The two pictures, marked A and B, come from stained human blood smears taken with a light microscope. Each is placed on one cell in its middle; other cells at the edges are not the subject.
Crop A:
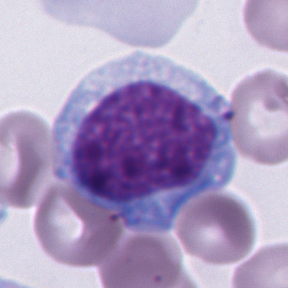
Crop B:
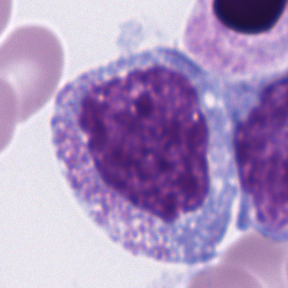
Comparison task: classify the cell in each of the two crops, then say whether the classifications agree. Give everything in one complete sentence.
Yes, the cells at the centre of both crops are promyelocytes.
